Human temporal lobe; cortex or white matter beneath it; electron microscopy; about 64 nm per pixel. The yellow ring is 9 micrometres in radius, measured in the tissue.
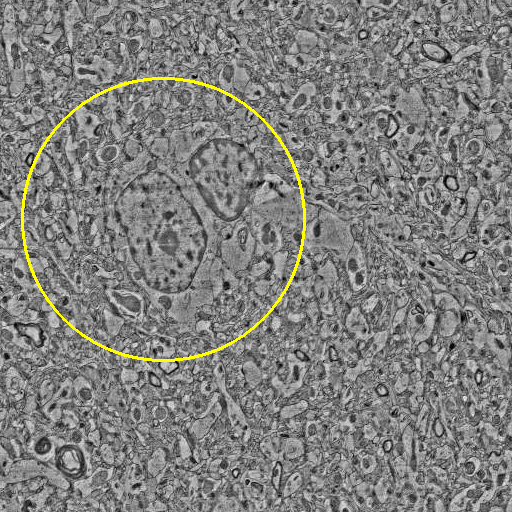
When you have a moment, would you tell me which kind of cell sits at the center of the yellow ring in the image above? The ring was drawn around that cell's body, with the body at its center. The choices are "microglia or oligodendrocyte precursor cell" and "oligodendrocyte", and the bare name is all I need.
microglia or oligodendrocyte precursor cell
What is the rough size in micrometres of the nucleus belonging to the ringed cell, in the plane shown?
The nucleus has a long axis of about 8 micrometres and a short axis of about 5 micrometres in this plane.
